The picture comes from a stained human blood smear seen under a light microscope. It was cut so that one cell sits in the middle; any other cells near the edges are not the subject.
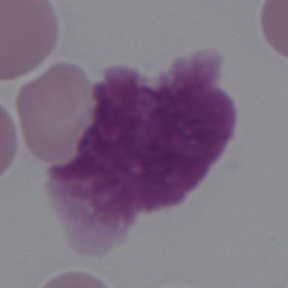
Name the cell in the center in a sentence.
Seen at the centre of the crop is a smudge cell.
